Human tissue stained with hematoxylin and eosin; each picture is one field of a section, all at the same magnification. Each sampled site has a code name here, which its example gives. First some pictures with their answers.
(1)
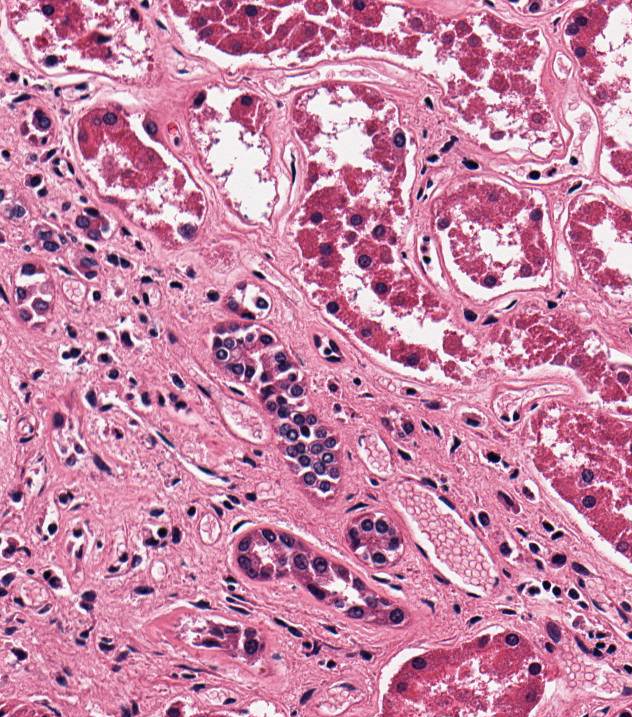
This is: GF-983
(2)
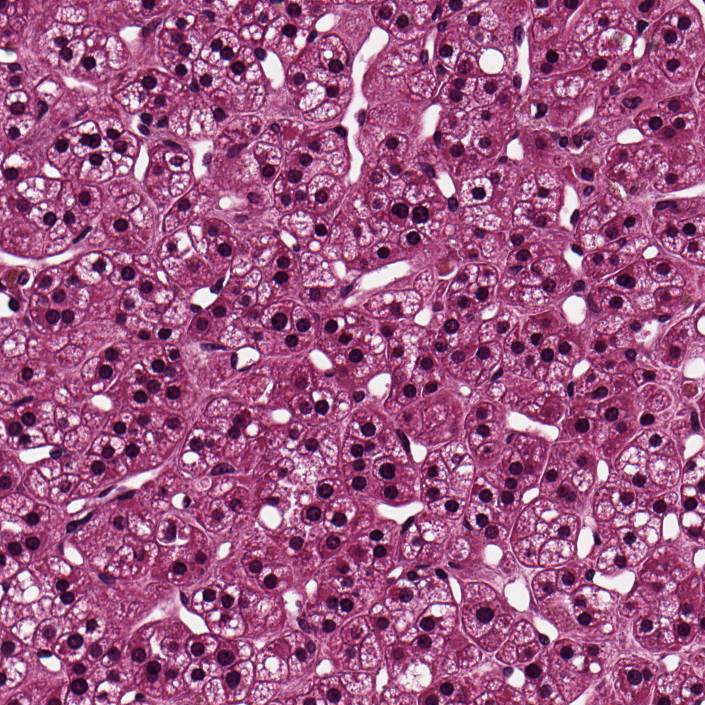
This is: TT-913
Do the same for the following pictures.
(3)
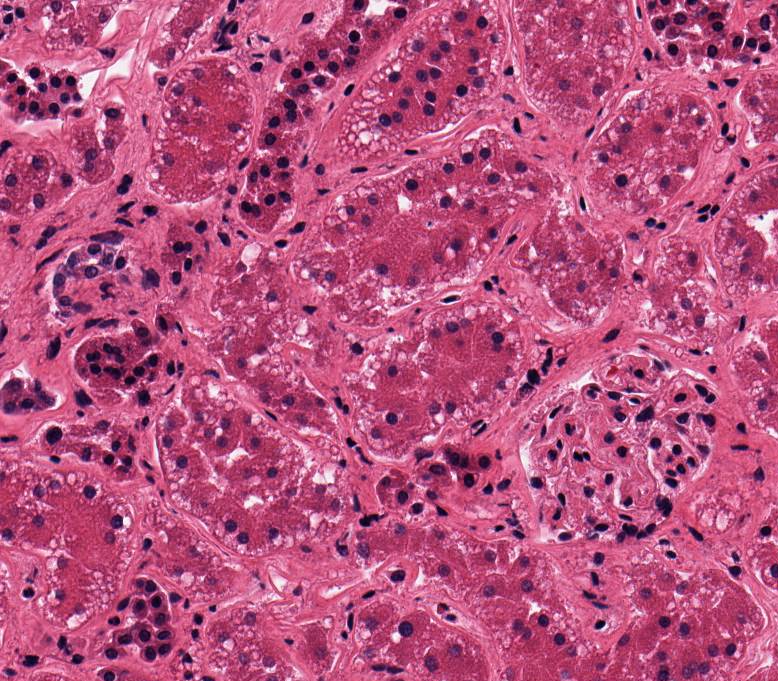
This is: GF-983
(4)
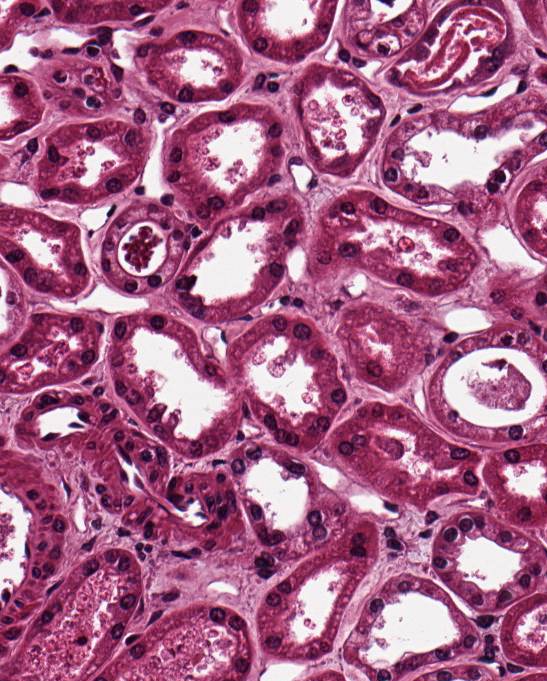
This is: GF-983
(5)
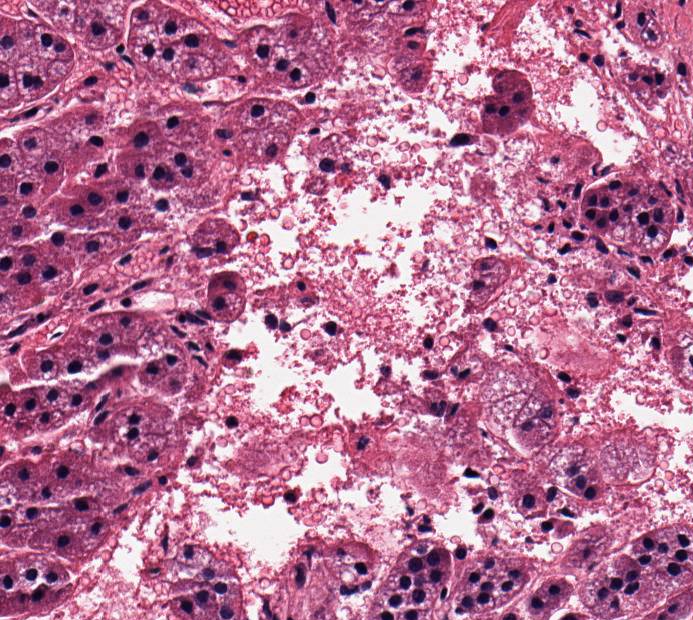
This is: TT-913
